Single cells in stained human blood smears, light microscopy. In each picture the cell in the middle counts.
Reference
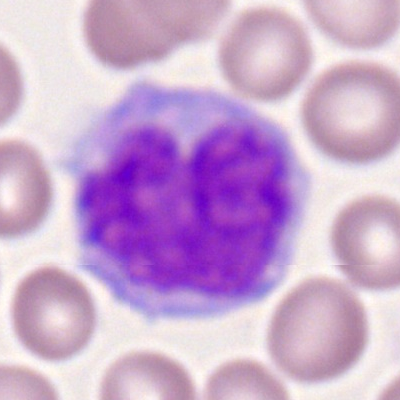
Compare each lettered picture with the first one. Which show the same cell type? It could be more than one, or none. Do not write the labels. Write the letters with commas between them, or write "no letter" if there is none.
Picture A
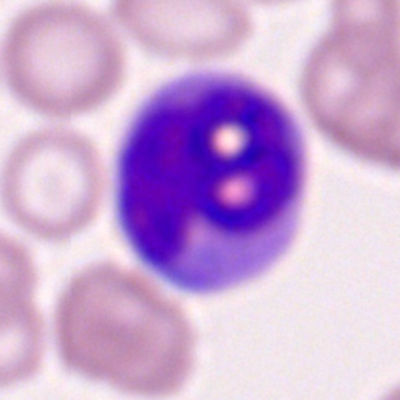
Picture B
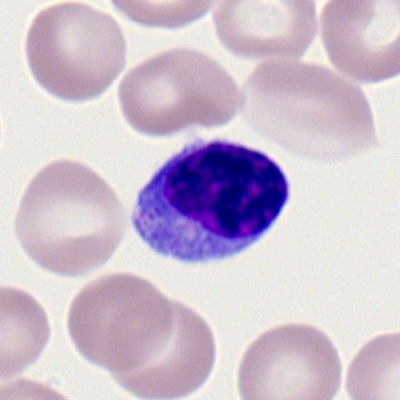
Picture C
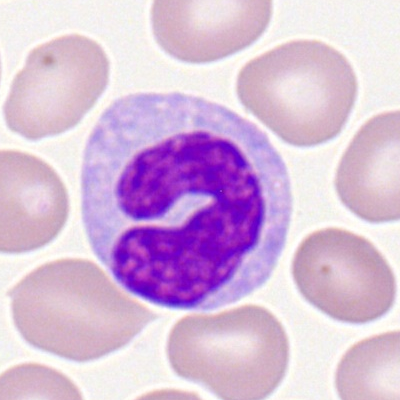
A, C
